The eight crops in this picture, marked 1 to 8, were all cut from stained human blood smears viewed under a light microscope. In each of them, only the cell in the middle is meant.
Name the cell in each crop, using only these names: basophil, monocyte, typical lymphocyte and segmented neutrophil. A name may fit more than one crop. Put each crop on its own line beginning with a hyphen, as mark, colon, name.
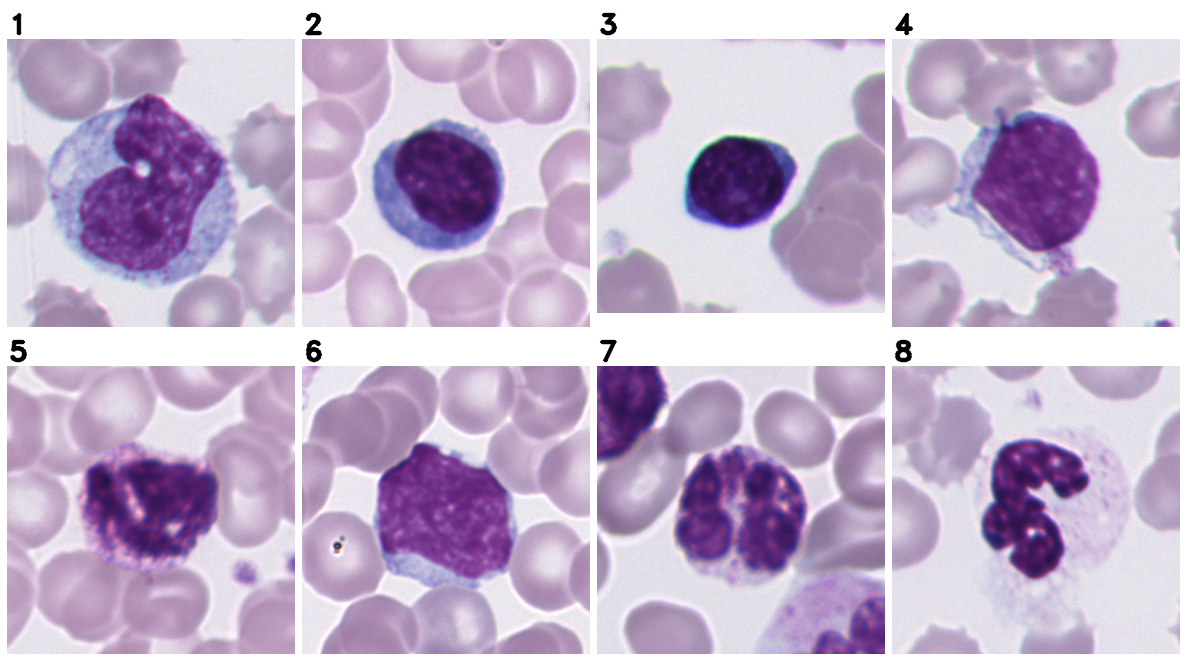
- 1: monocyte
- 2: typical lymphocyte
- 3: typical lymphocyte
- 4: typical lymphocyte
- 5: basophil
- 6: typical lymphocyte
- 7: basophil
- 8: segmented neutrophil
